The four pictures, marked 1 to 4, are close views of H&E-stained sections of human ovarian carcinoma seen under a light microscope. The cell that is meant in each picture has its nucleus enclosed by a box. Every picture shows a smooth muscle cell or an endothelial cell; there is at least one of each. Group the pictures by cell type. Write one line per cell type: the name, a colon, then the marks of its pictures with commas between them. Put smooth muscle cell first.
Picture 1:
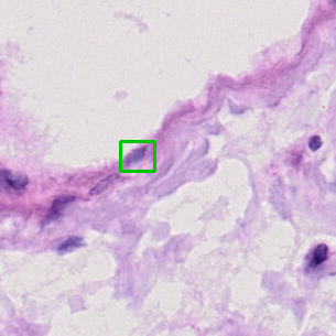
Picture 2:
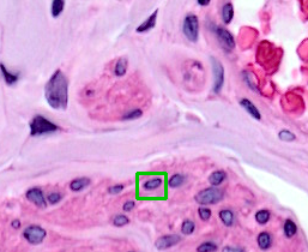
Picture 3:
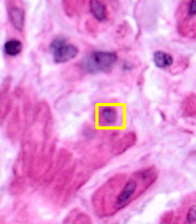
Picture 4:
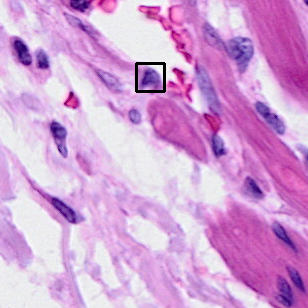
smooth muscle cell: 2, 3
endothelial cell: 1, 4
